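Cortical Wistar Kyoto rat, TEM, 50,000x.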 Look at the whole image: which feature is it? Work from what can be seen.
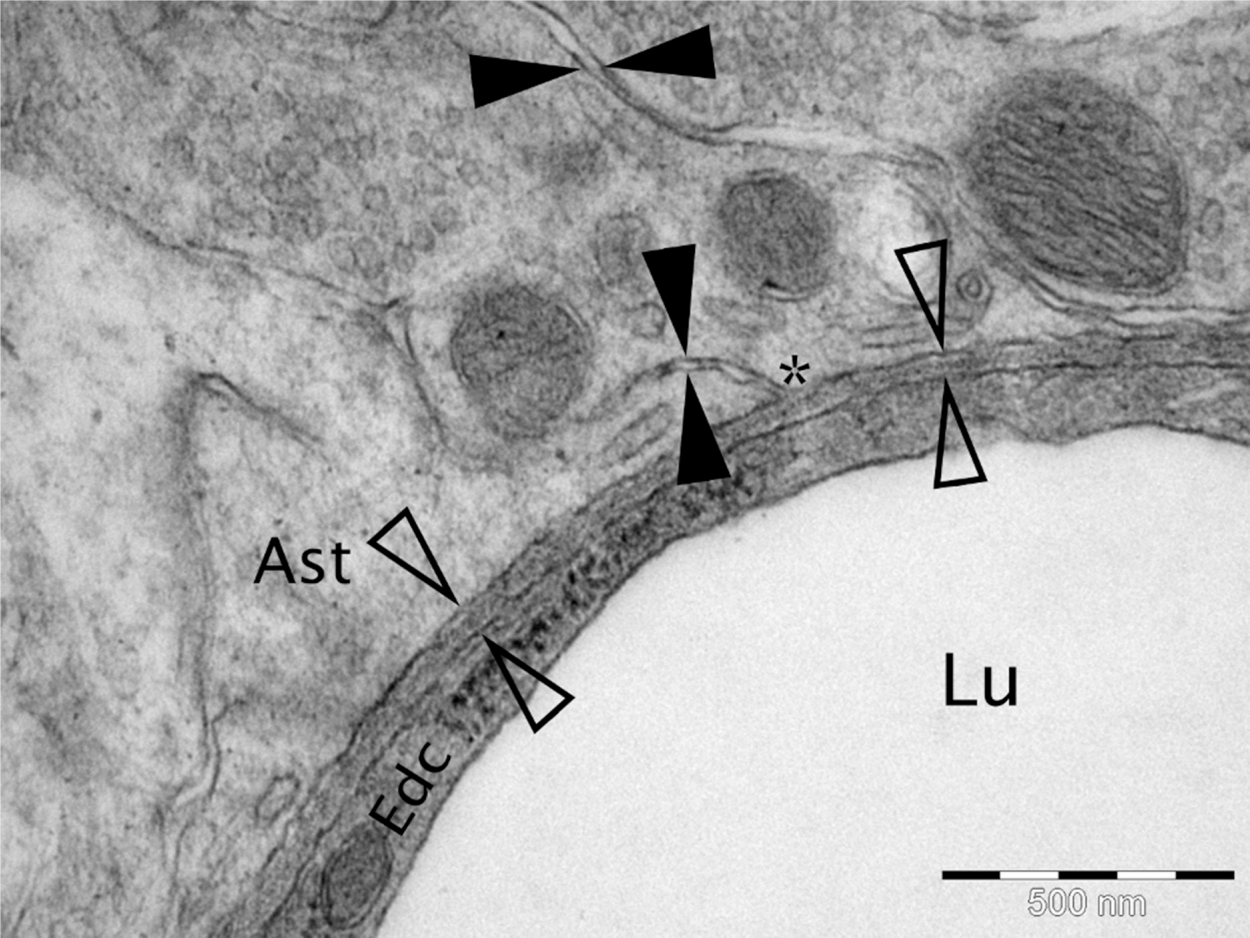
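A large empty round lumen is lined by a single very thin cell layer. The vessel wall has no smooth muscle layer. Pale cell processes lie directly against the outside of the wall. That points to this answer: capillary.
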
